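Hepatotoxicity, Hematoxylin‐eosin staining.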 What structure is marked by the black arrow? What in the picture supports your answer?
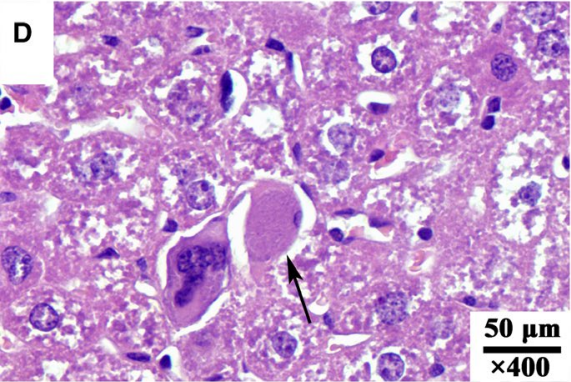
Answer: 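Acidophilic body. The arrow points to a rounded, homogeneous pink body without visible nuclear detail. The body is set apart from the surrounding cells by a clear space.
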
